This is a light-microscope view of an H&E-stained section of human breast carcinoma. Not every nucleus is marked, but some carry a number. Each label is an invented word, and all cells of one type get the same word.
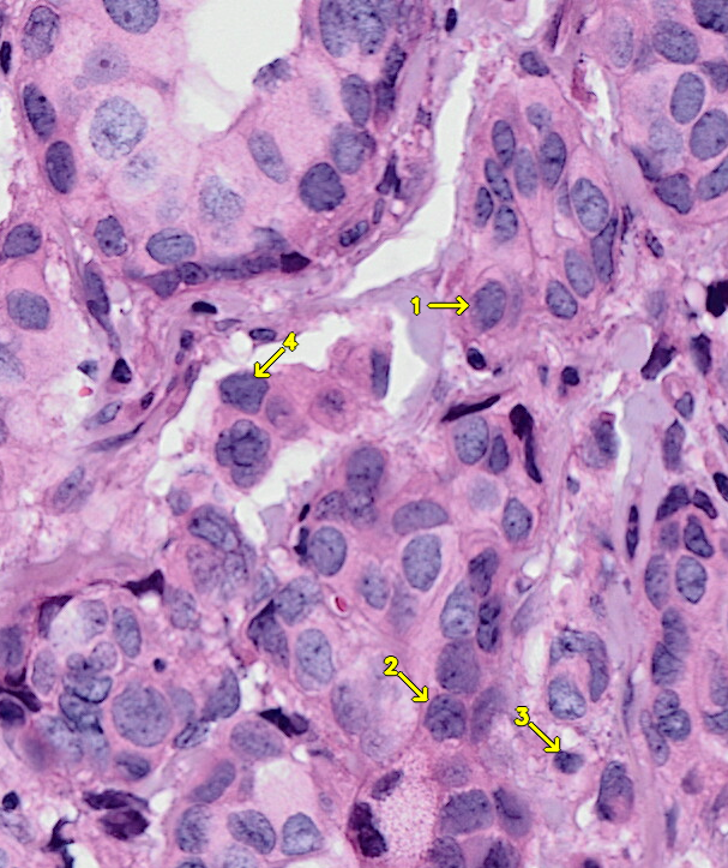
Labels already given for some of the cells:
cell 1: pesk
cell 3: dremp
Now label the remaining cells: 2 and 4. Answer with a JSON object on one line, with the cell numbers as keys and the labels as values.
{"2": "pesk", "4": "pesk"}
